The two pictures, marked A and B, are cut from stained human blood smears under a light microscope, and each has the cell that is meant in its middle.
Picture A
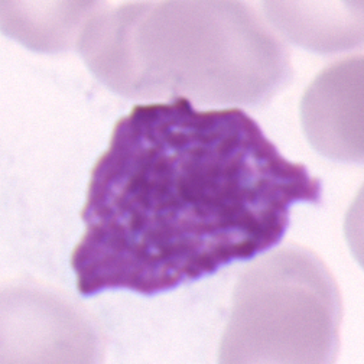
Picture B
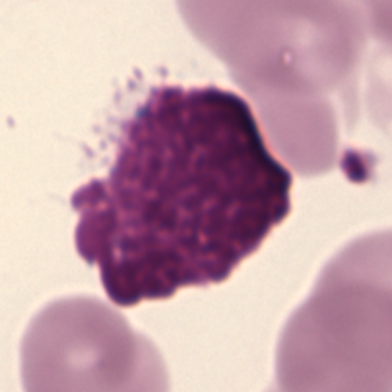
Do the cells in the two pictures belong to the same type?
yes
